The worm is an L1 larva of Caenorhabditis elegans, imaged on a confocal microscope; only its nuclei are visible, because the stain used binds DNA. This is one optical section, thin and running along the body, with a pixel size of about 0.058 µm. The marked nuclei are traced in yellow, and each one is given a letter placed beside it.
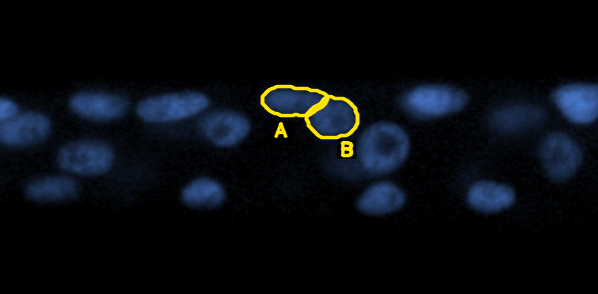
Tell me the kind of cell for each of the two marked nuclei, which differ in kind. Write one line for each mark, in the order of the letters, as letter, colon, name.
A: body wall muscle cell
B: Q neuroblast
